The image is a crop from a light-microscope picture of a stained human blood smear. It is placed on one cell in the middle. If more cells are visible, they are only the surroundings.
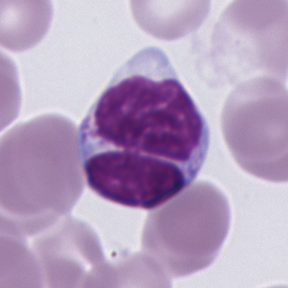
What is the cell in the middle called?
large granular lymphocyte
